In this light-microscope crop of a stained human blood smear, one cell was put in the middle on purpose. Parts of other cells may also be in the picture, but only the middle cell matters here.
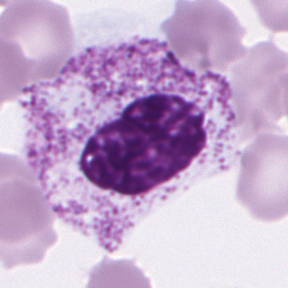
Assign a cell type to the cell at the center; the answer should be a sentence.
The centrally positioned cell in the crop represents a band neutrophil.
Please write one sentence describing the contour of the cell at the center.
As for its outline, the cell is irregular, ragged or drawn into projections.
